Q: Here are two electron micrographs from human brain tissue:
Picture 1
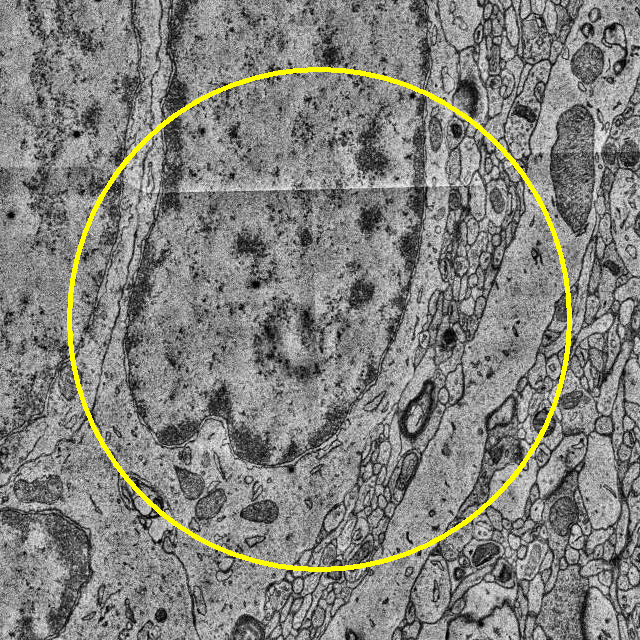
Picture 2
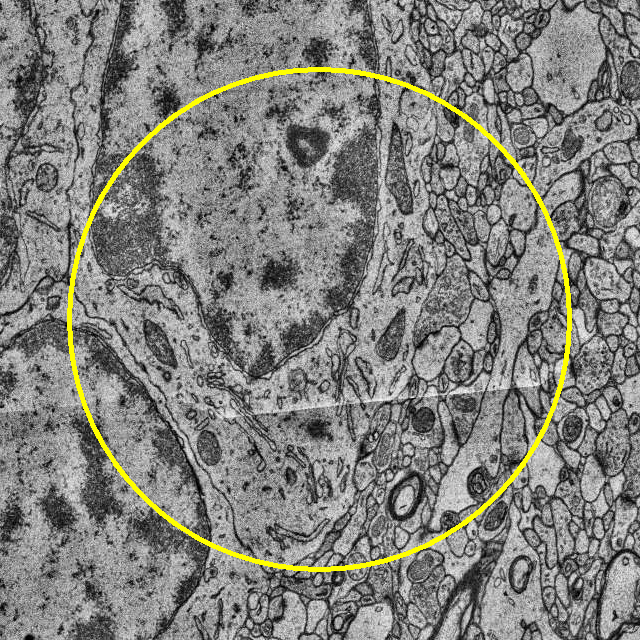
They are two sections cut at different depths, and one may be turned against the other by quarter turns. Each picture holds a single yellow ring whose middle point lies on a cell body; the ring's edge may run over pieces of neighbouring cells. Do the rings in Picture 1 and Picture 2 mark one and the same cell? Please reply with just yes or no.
yes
